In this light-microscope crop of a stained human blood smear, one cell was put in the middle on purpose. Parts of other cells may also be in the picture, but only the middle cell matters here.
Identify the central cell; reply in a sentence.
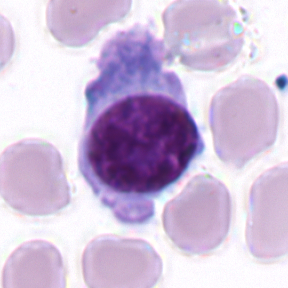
As for the cell in the middle, it is a plasma cell.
